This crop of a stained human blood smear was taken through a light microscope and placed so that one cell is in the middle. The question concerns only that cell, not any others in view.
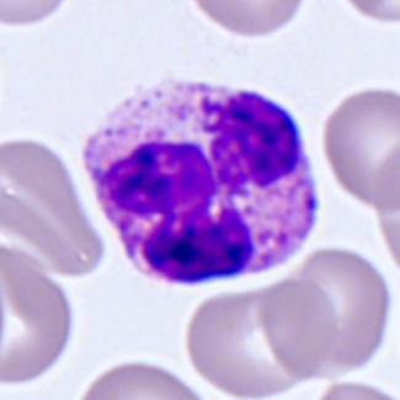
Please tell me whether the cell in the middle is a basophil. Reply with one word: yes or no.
yes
